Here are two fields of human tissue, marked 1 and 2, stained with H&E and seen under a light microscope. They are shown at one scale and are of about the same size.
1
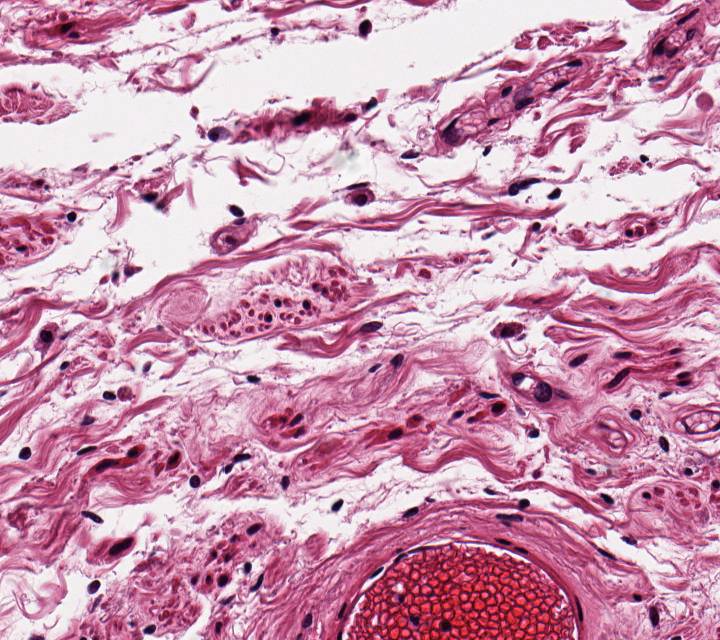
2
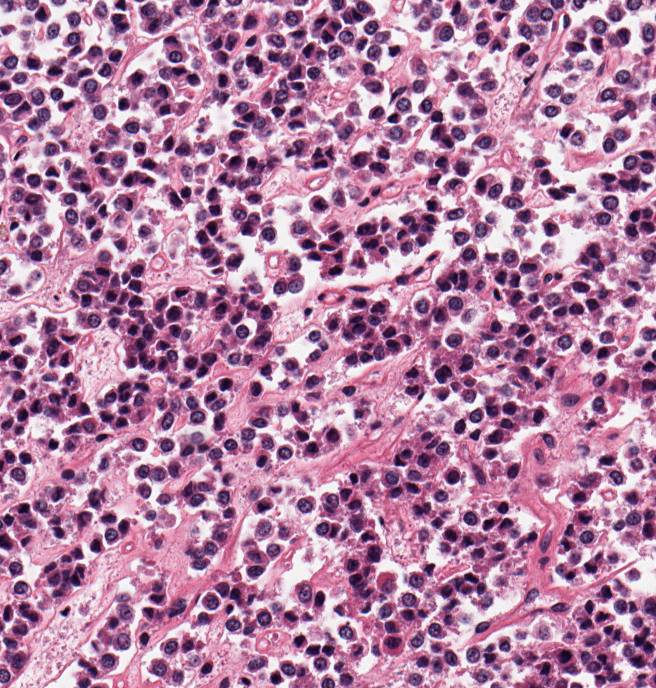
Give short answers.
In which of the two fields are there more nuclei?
2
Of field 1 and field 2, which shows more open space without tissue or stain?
1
